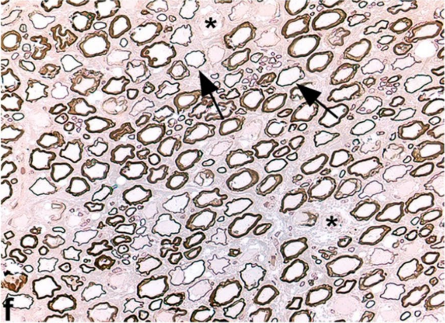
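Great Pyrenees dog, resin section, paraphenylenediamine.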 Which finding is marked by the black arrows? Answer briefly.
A: Inappropriately thin myelin sheaths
